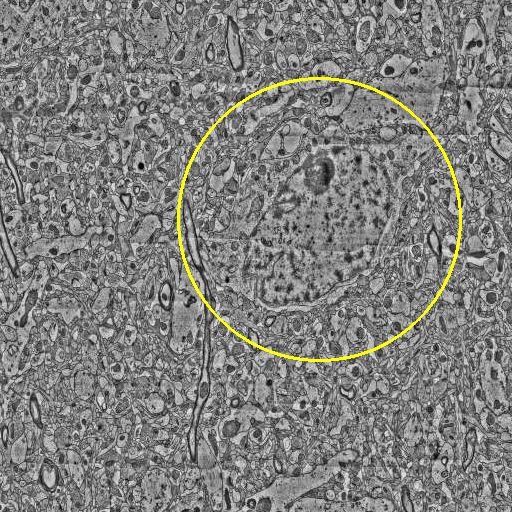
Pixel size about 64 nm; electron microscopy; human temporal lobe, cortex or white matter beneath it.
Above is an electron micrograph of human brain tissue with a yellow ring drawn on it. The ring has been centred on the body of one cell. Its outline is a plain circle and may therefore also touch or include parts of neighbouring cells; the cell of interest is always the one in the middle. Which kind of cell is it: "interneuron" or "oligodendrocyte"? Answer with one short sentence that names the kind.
The ring's central cell body is that of an interneuron.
